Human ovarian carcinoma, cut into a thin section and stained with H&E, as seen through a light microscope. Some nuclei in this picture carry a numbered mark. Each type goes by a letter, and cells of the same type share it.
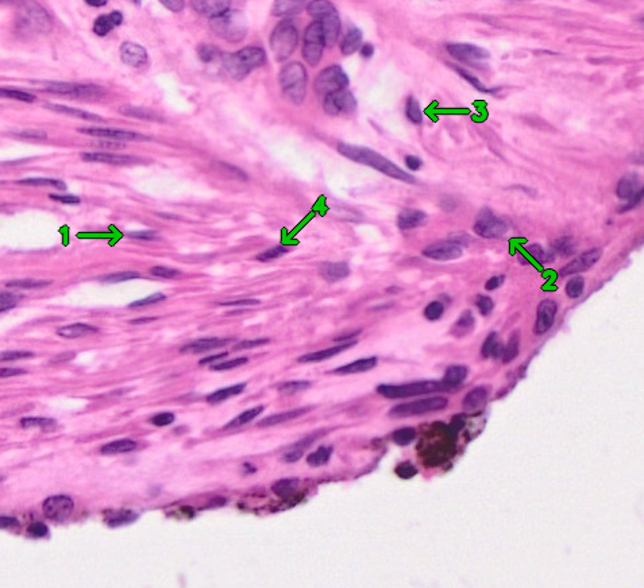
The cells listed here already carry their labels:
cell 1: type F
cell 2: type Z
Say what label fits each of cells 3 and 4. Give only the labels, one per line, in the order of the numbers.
type F
type F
